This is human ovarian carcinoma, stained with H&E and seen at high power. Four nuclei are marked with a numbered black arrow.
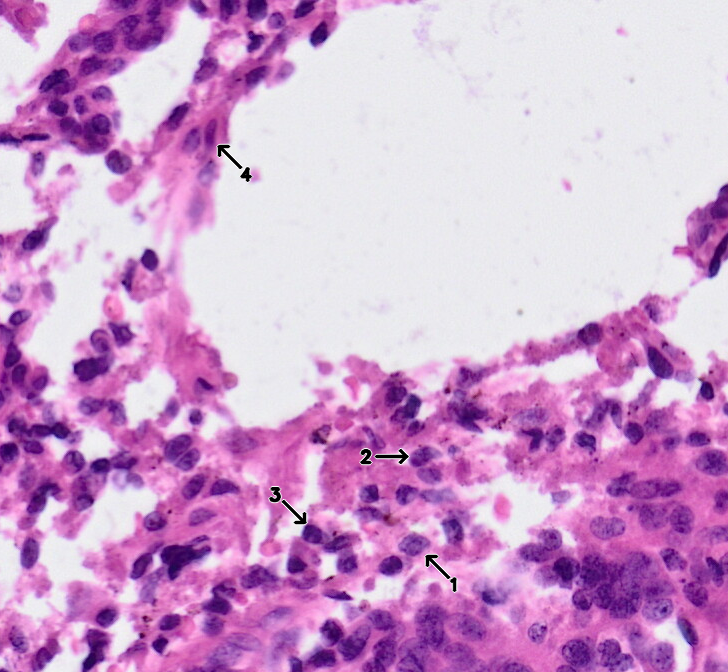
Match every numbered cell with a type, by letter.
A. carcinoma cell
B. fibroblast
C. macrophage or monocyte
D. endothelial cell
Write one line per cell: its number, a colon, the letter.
1: C
2: C
3: A
4: D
